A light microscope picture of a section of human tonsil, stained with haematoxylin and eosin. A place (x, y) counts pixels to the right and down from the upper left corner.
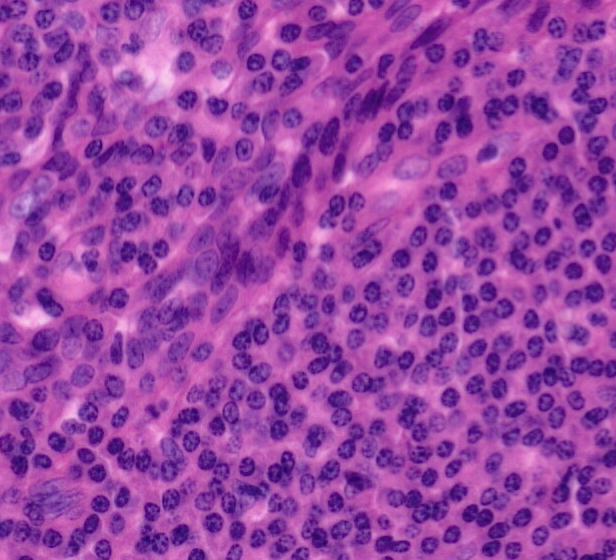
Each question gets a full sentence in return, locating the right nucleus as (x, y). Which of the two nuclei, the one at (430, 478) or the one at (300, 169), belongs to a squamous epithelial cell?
Assigned to a squamous epithelial cell is the nucleus located at (300, 169).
